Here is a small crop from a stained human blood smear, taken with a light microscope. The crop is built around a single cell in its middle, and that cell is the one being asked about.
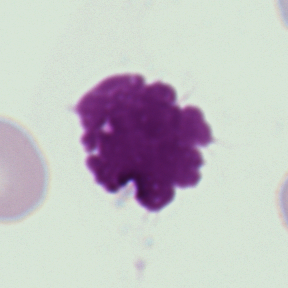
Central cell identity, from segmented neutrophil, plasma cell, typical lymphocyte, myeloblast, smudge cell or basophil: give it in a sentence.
This particular crop is centered on a smudge cell.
